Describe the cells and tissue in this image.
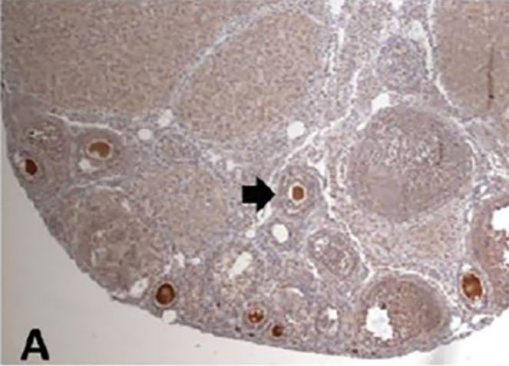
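This is a section of ovary filled with follicles of many sizes set in a stroma of spindle-shaped cells and small vessels. Small follicles each hold a single round central body stained a strong brown, surrounded by one or a few layers of smaller cells with blue nuclei. Several large, solid, pale-brown rounded masses of closely packed cells also occupy the section. The stroma between them is paler and bluish, with scattered thin-walled vessels.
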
